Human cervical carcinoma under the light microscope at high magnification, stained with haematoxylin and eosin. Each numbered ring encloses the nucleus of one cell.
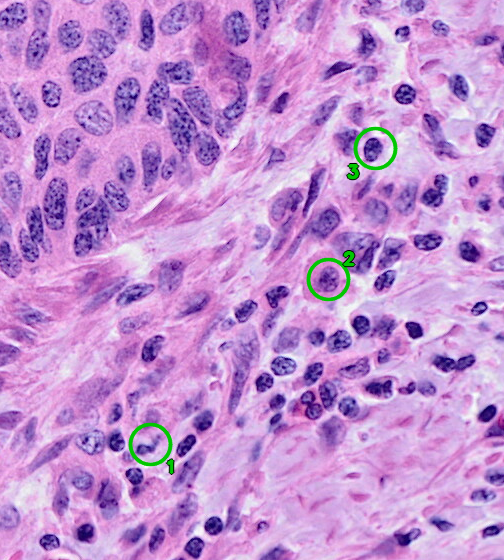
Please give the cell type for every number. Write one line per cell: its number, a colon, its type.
1: lymphocyte
2: macrophage or monocyte
3: lymphocyte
